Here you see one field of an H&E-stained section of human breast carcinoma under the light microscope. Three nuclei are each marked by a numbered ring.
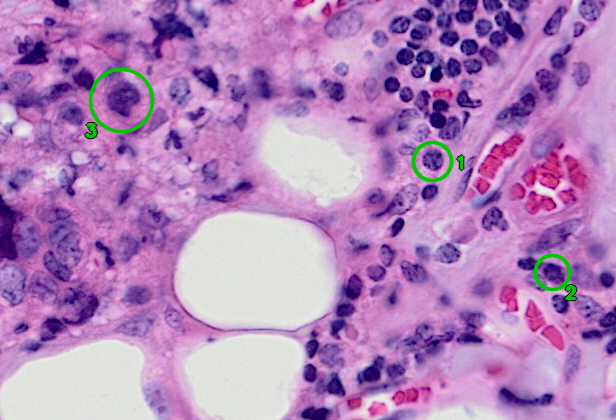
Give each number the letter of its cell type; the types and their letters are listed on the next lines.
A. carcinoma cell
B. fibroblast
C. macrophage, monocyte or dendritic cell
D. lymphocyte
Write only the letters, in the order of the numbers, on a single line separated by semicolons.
D; D; A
